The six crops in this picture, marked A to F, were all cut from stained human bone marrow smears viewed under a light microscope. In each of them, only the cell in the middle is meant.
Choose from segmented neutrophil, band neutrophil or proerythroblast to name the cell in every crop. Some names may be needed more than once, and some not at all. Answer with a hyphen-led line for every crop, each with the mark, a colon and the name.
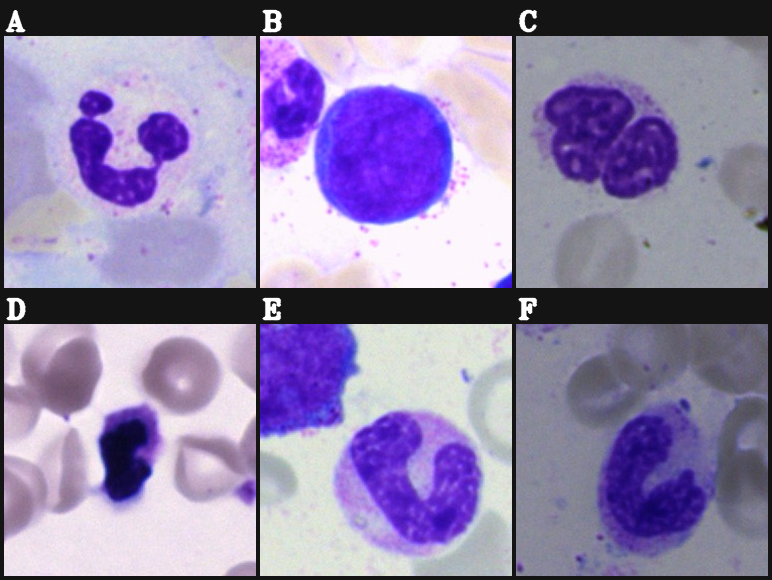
- A: segmented neutrophil
- B: proerythroblast
- C: segmented neutrophil
- D: segmented neutrophil
- E: band neutrophil
- F: band neutrophil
